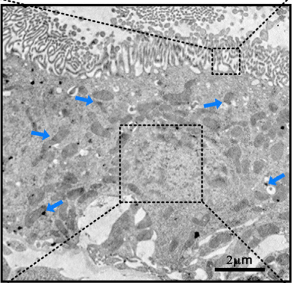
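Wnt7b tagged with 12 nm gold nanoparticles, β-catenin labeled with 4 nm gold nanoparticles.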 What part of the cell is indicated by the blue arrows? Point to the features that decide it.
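The arrows point at dense oval to elongated organelles in the cytoplasm. These organelles are scattered throughout the cell below the apical microvilli.
Mitochondria.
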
